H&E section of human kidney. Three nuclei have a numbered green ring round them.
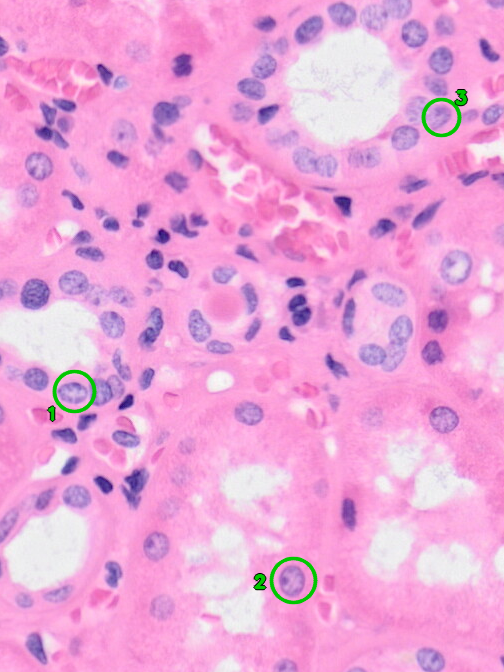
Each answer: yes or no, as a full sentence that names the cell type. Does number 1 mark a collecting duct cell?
Yes, and to answer plainly, cell 1 is a collecting duct cell.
